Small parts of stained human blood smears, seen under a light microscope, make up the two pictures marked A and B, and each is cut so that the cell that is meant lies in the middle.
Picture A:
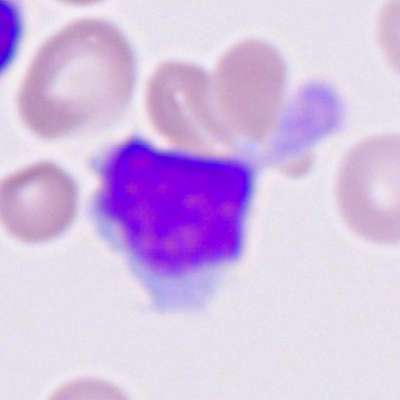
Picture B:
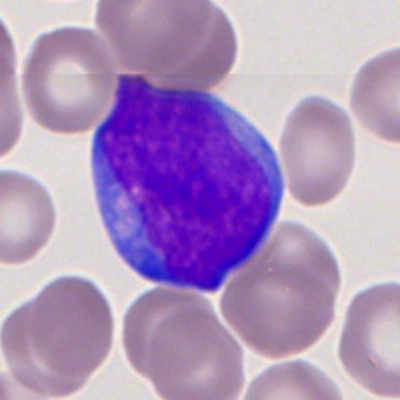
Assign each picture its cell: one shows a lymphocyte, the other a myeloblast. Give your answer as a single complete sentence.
The cell in picture A is a lymphocyte, and the one in picture B is a myeloblast.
